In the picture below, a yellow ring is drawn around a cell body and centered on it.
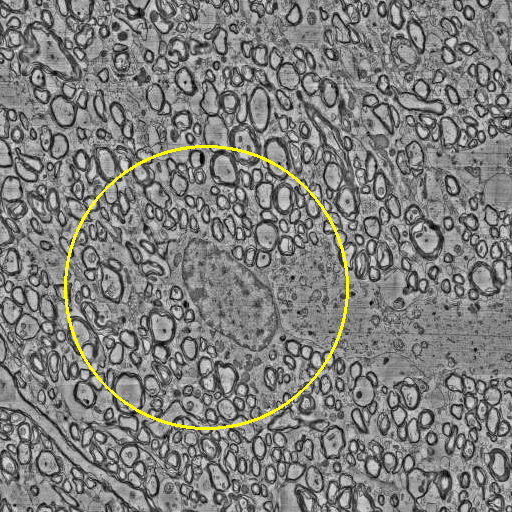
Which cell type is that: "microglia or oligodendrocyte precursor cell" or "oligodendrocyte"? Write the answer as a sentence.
The cell centered in the ring is an oligodendrocyte.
